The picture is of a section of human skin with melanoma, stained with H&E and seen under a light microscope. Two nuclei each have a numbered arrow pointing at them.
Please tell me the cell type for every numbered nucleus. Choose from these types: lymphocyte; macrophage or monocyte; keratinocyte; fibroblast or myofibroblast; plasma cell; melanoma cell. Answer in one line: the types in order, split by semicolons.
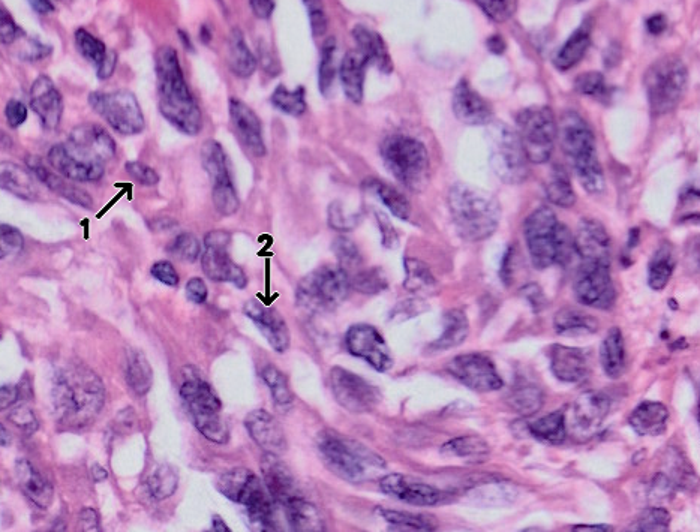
macrophage or monocyte; melanoma cell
